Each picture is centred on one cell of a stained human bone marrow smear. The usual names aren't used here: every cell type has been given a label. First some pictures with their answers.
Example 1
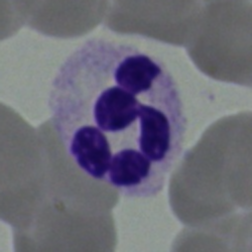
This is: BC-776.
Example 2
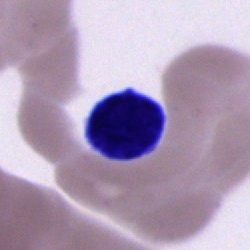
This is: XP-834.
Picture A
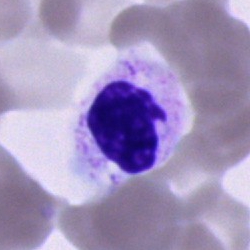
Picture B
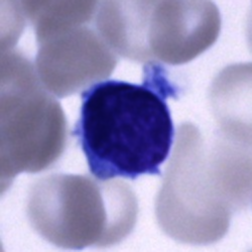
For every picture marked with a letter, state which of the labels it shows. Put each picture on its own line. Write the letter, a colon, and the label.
A: BC-776.
B: XP-834.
